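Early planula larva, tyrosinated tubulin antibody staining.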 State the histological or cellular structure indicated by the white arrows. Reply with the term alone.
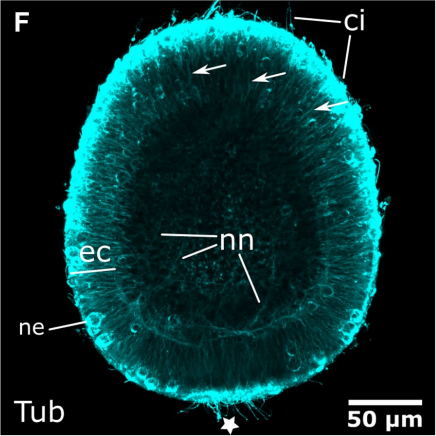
Fibers crossing the ectoderm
